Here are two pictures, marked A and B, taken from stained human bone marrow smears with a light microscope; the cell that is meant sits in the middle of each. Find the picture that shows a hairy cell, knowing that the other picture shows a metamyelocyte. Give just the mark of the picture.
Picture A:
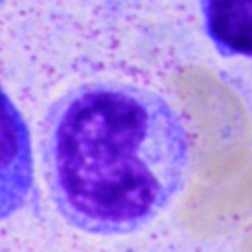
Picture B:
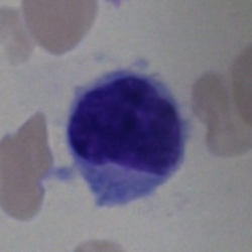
B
